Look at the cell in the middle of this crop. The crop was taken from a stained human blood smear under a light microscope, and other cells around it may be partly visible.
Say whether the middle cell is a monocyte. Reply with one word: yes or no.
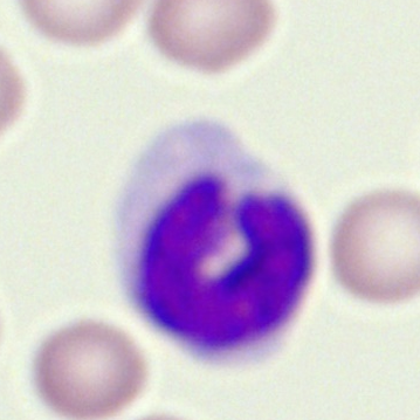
yes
